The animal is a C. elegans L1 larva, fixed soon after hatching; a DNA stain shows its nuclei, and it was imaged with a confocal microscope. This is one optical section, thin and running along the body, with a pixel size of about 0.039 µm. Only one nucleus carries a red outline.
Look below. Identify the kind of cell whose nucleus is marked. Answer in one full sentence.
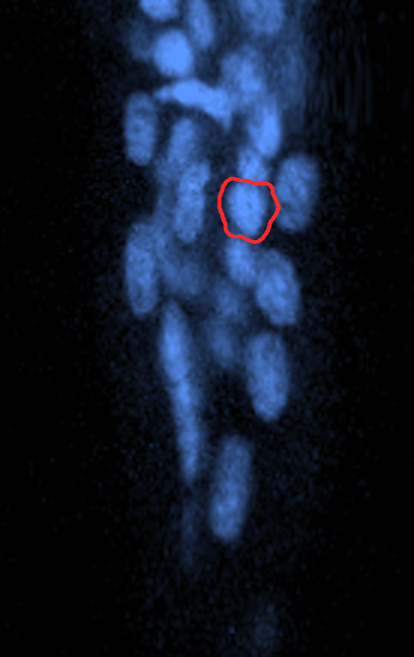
The cell with the marked nucleus is an arcade cell.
